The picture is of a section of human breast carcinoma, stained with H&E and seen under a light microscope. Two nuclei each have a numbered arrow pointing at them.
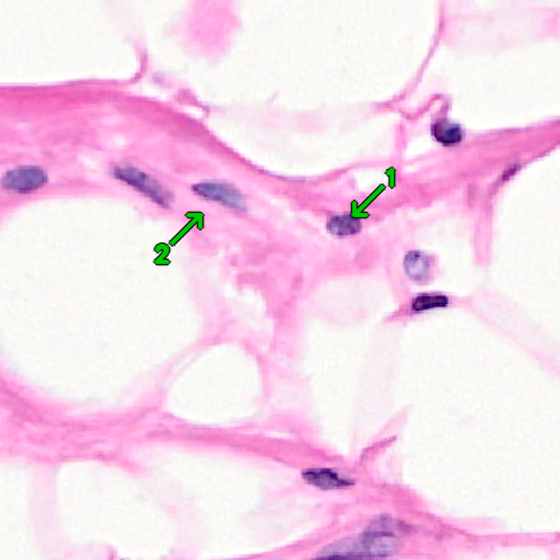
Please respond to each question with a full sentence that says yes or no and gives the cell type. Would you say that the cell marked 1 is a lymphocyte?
Yes, the cell whose nucleus carries number 1 is a lymphocyte.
